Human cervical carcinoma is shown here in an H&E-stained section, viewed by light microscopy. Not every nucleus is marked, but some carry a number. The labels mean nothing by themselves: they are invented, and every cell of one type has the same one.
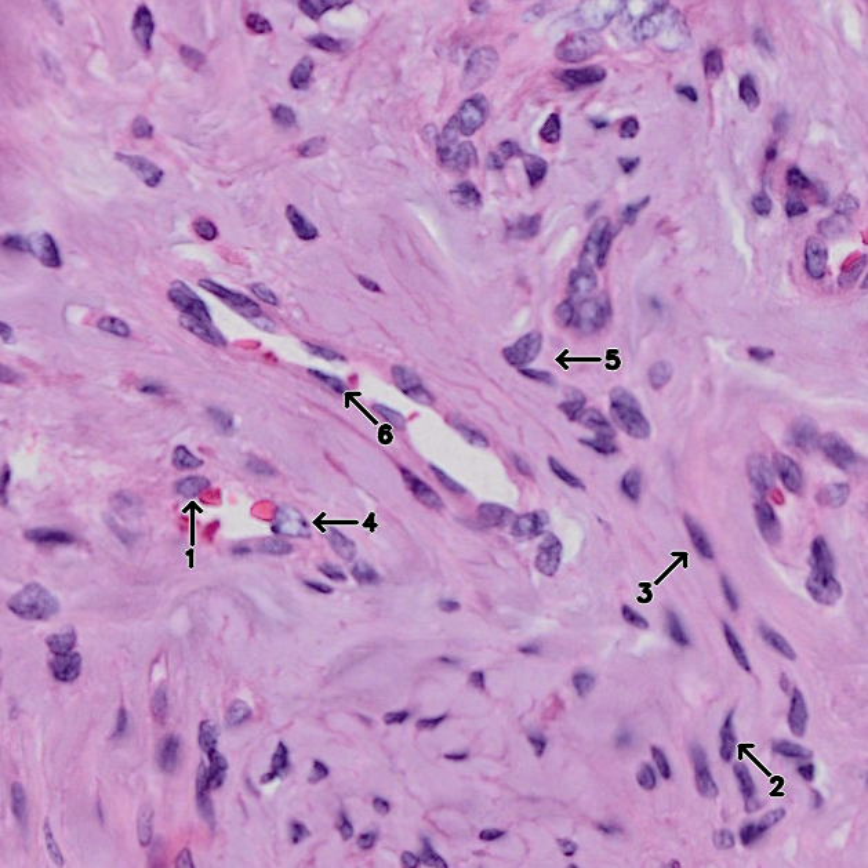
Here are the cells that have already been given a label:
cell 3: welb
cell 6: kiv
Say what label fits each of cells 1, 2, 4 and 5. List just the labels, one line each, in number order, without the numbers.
kiv
welb
kiv
welb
